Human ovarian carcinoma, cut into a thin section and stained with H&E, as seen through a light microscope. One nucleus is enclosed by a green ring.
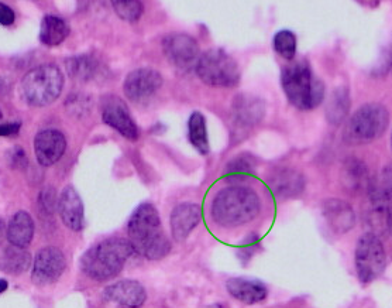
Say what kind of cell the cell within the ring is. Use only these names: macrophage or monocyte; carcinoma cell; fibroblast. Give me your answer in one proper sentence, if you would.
As a matter of cell type, the cell within the ring is a carcinoma cell.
